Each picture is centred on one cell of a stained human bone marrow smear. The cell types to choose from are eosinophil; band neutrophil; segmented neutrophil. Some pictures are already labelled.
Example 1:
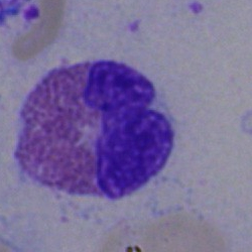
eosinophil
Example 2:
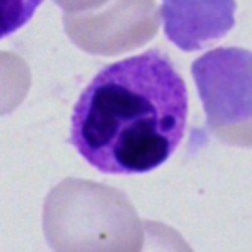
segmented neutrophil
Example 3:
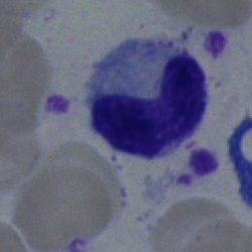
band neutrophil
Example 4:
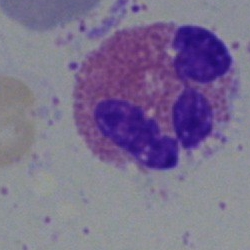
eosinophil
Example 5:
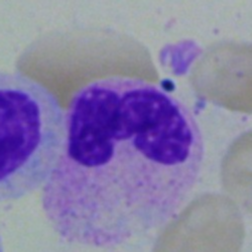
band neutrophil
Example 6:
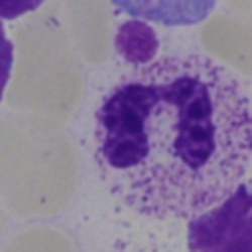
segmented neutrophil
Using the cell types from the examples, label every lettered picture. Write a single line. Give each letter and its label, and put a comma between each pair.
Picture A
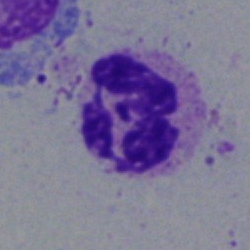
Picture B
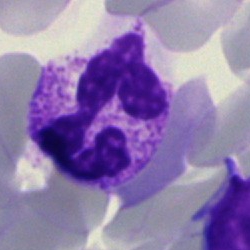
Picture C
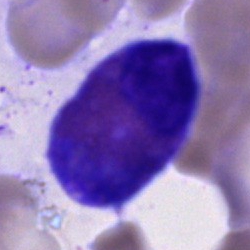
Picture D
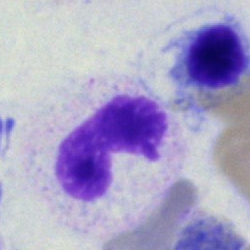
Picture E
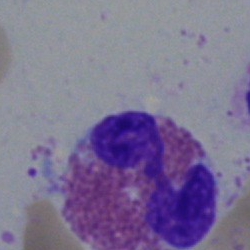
A segmented neutrophil, B segmented neutrophil, C eosinophil, D segmented neutrophil, E eosinophil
